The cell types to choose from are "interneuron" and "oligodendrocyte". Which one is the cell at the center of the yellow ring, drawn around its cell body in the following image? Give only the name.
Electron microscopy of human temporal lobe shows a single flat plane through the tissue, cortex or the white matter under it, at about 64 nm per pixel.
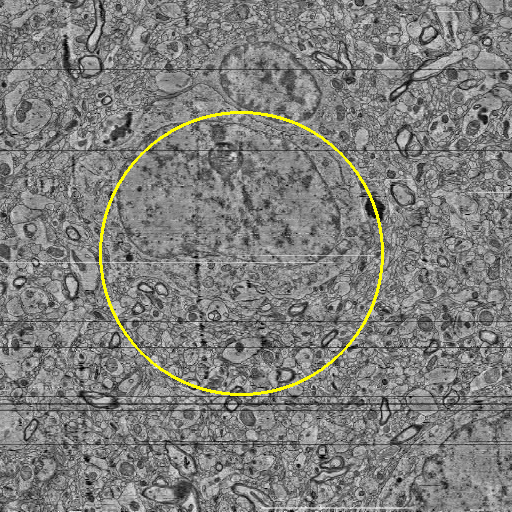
interneuron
